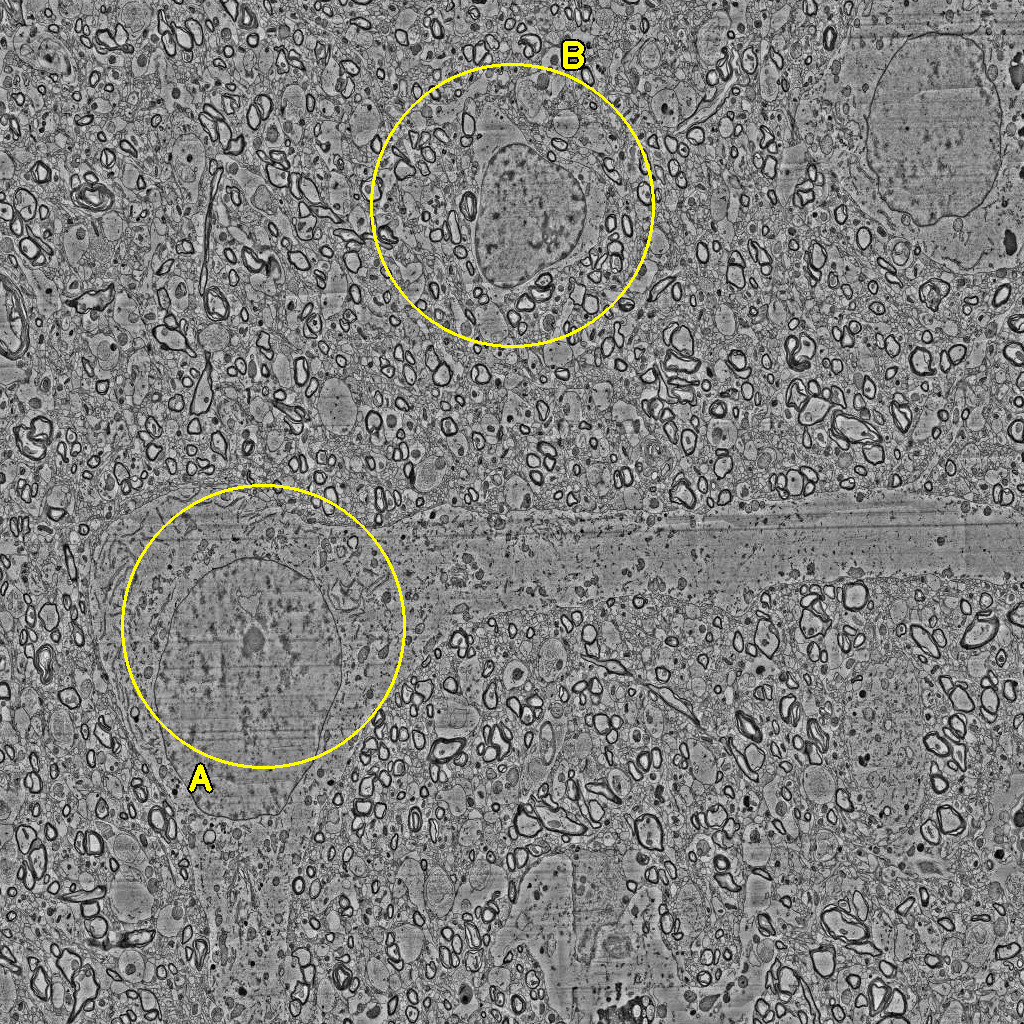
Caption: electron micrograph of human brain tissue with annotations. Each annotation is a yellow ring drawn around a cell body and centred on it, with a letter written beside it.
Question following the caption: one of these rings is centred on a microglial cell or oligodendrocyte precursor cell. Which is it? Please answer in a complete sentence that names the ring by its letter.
The ring with the letter B is centred on it.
